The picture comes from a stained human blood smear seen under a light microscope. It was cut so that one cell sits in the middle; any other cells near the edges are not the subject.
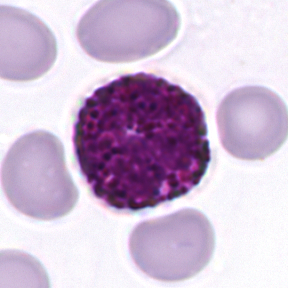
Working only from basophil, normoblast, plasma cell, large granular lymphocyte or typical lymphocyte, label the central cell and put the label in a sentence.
As for the cell in the middle, it is a basophil.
